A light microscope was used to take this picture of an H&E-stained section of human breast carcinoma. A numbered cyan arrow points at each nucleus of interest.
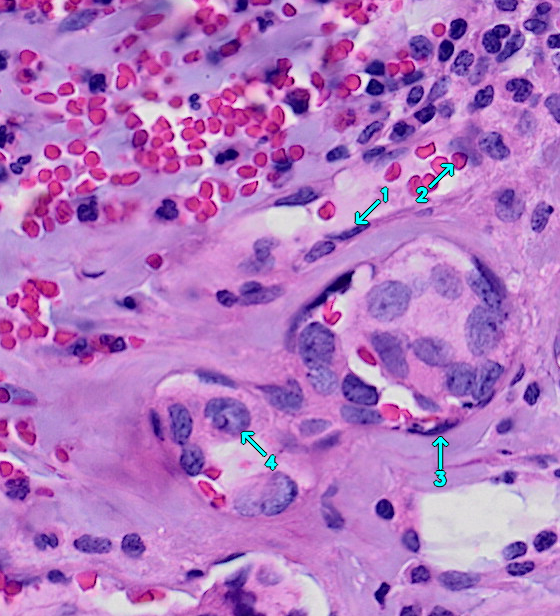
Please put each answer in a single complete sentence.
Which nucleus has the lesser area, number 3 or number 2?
With nucleus 2 about 2 times its size, nucleus 3 is the smaller of the two.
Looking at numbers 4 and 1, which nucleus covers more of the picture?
Nucleus 4 covers more area, about 4 times as much as nucleus 1.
